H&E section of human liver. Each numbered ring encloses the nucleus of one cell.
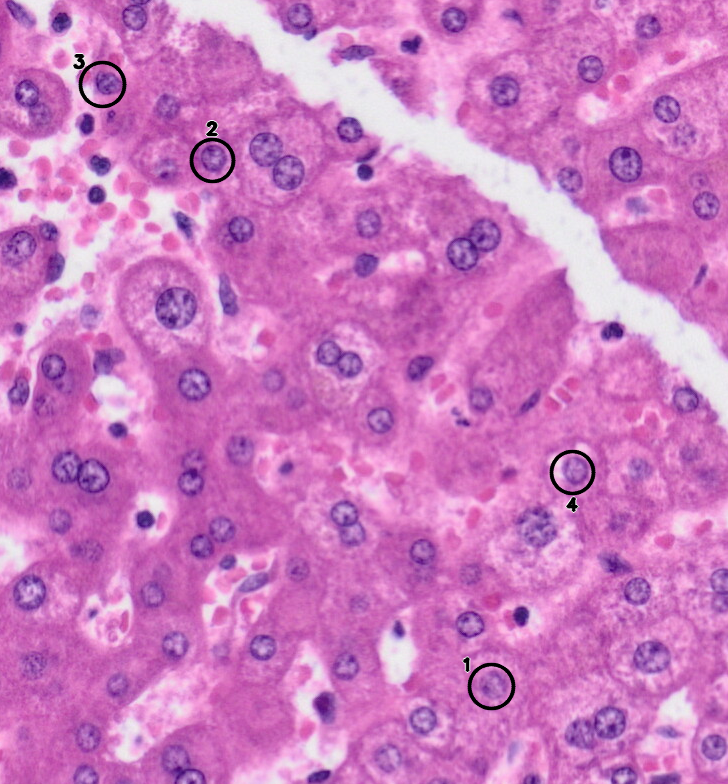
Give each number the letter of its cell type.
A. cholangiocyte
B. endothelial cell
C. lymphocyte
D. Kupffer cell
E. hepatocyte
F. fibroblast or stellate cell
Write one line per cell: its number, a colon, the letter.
1: E
2: E
3: D
4: E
